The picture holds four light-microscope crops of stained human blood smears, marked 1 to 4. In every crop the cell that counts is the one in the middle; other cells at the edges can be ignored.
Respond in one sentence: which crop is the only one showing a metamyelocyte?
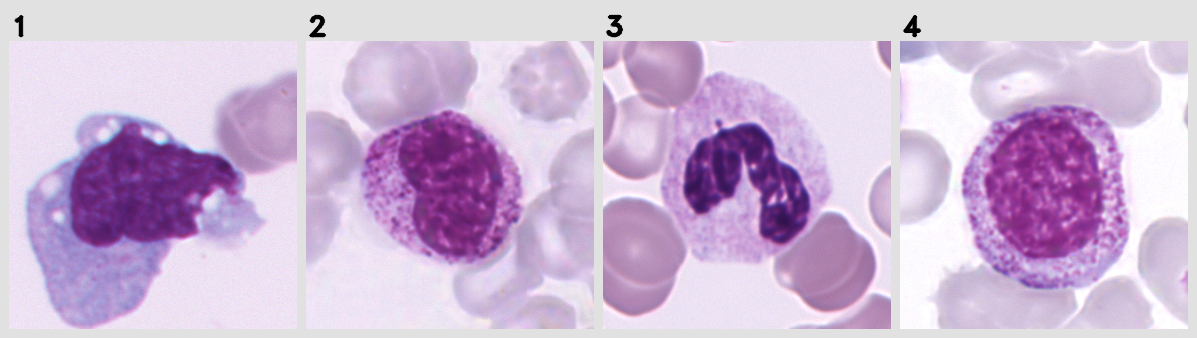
Crop 2 is the correct crop, and it shows a metamyelocyte.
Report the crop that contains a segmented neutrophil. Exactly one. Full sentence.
It is the cell in crop 3 that is a segmented neutrophil.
